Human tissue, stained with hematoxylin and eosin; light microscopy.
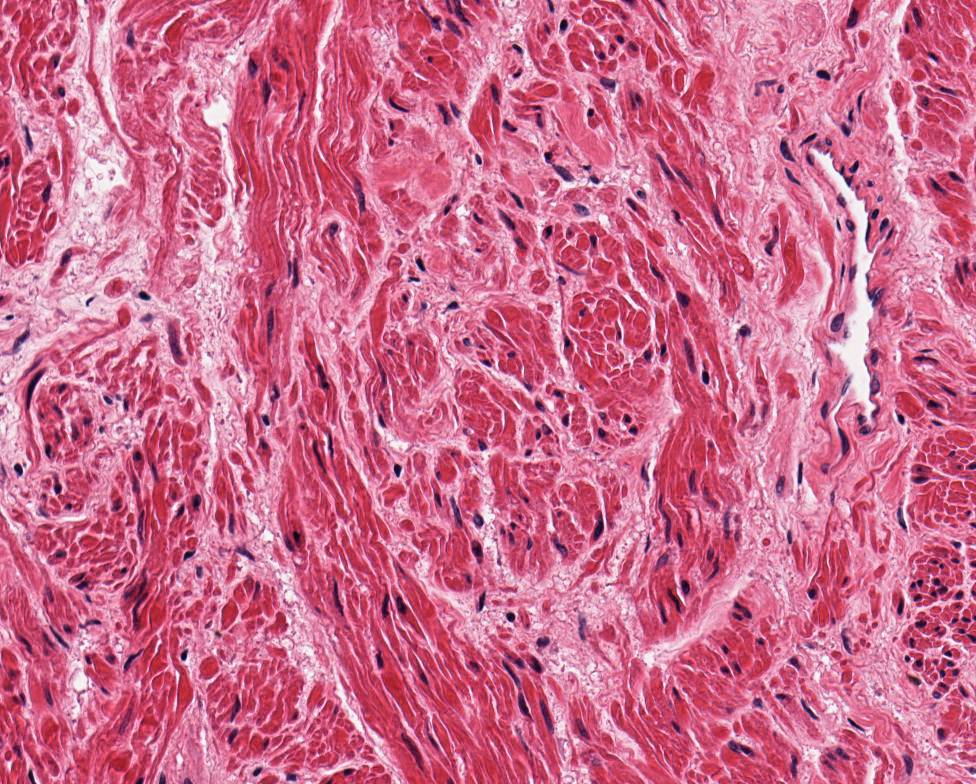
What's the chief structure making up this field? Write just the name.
fibromuscular stroma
